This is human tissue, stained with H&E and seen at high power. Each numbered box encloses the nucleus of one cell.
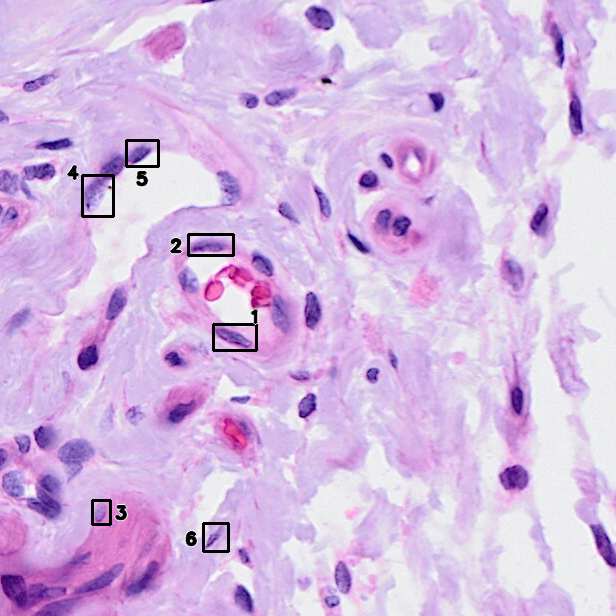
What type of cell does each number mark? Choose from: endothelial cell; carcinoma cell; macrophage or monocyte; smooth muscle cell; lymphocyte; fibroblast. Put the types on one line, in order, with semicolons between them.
endothelial cell; endothelial cell; smooth muscle cell; endothelial cell; endothelial cell; fibroblast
